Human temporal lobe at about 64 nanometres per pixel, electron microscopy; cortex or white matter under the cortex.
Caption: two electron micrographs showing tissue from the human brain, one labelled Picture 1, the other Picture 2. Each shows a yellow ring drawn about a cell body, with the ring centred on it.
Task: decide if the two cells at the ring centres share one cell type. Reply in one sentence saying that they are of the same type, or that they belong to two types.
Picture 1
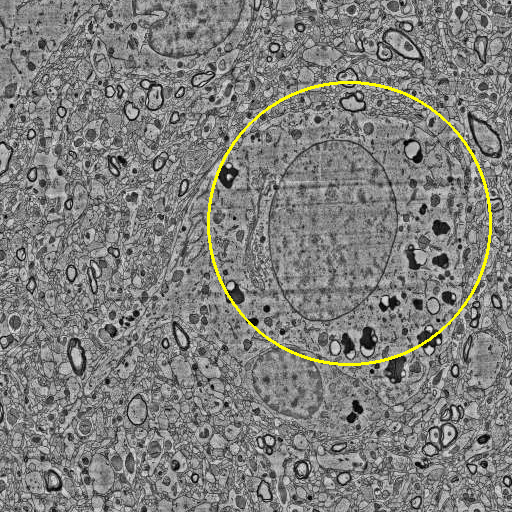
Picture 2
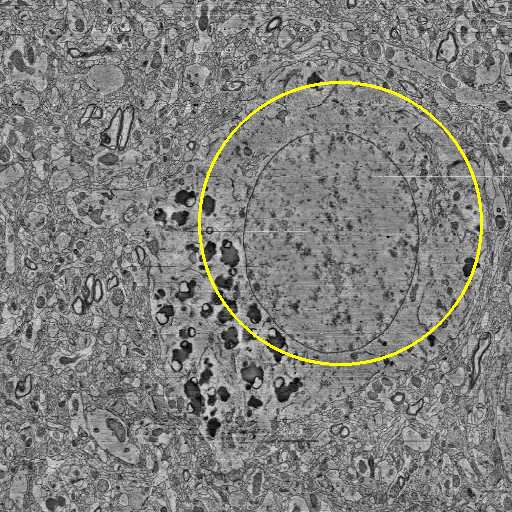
The cells at the ring centres in Picture 1 and Picture 2 are of the same type.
